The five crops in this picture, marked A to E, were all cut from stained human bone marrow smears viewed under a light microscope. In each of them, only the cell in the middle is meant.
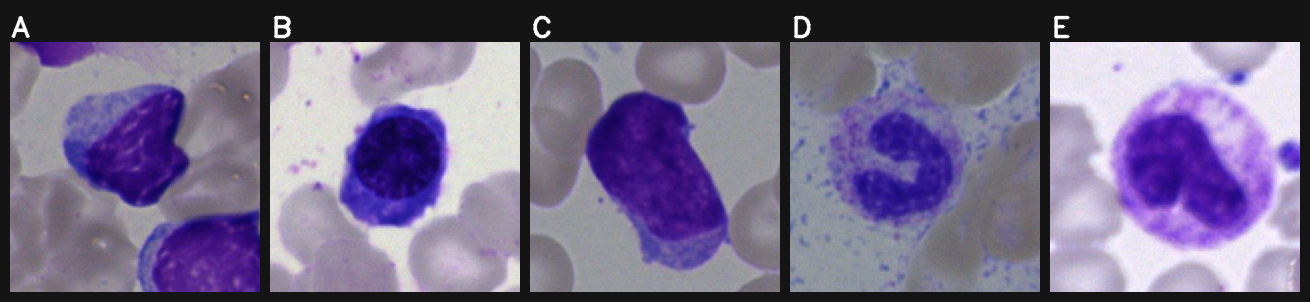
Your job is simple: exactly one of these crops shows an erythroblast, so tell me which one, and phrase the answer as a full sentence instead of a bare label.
Of all the crops, crop B is the one showing an erythroblast.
